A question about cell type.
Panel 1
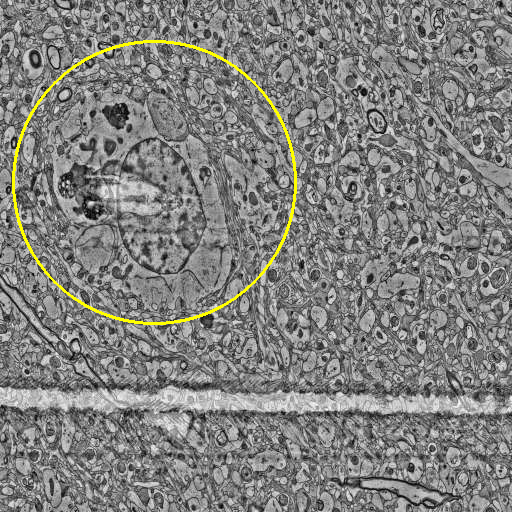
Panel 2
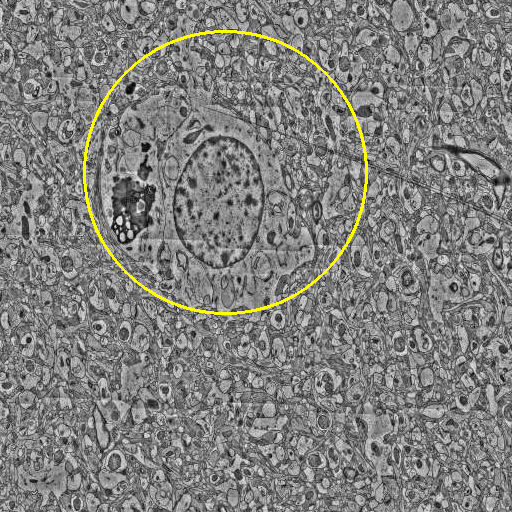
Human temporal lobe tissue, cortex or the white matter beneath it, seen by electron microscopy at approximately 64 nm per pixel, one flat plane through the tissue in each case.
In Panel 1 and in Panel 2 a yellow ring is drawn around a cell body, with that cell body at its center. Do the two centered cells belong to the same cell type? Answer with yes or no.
yes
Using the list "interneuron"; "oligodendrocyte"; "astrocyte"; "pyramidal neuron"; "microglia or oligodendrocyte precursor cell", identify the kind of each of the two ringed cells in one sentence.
Each of the two rings is centred on an astrocyte.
